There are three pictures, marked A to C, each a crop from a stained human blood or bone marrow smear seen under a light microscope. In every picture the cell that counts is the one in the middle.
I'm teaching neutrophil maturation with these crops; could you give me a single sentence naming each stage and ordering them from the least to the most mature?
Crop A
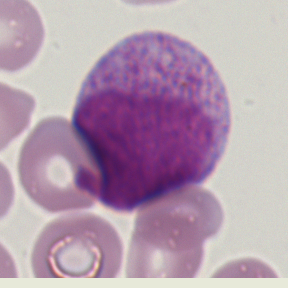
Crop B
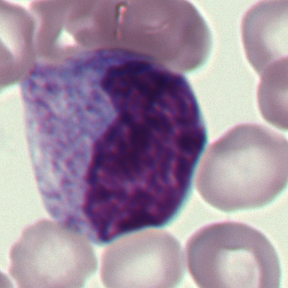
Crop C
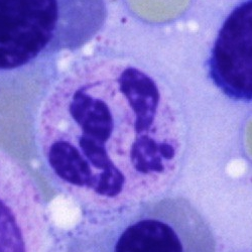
Ordered least to most mature, the series reads crop B (a promyelocyte), crop A (a myelocyte) and crop C (a segmented neutrophil).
